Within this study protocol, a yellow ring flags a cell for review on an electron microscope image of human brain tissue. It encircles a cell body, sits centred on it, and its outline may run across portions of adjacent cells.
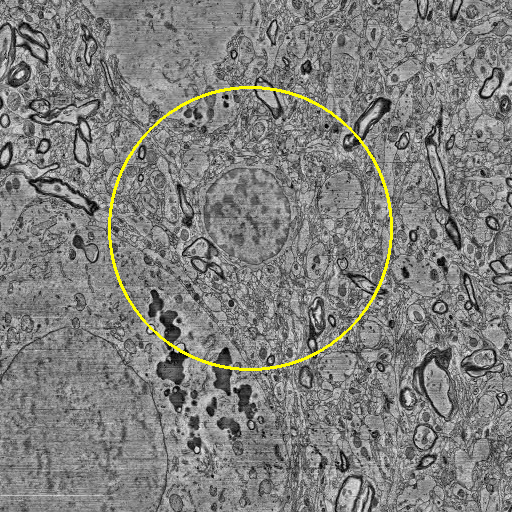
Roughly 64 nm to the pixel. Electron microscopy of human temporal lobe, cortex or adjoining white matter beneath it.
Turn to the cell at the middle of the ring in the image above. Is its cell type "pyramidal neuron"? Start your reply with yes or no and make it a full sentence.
No, the cell at the ring's centre in the image above has another cell type.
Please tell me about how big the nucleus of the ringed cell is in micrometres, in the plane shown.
The ringed cell's nucleus is about 6 micrometres long and 5 micrometres wide in this plane.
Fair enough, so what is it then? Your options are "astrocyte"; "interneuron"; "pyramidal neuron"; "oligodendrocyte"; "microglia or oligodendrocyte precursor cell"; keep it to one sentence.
As it turns out, the cell at the ring centre is an oligodendrocyte.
